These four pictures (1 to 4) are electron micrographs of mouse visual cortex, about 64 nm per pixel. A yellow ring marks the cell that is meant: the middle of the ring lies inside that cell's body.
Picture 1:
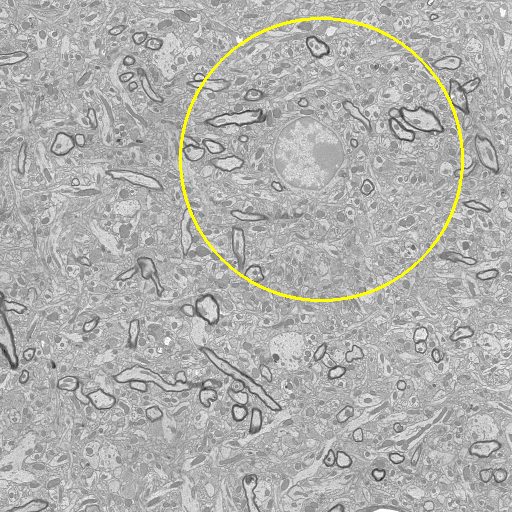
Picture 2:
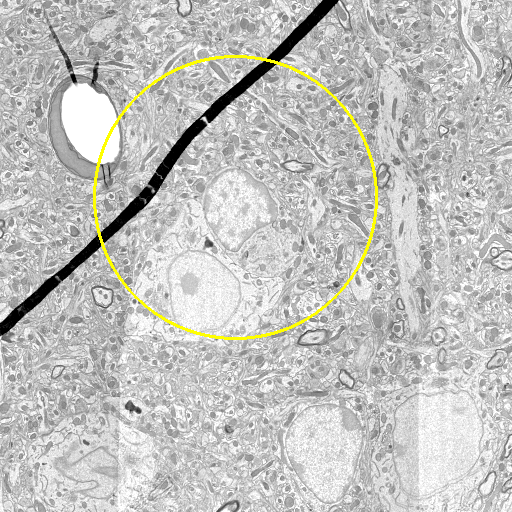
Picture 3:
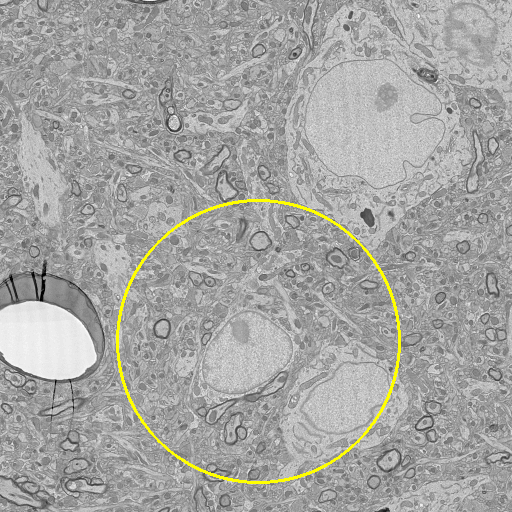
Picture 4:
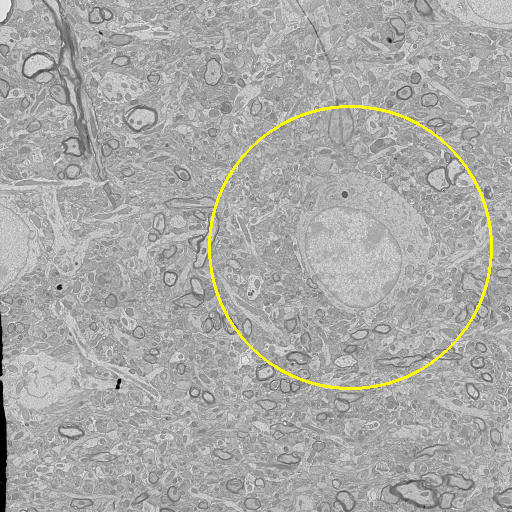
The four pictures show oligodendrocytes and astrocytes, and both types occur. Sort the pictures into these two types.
Pictures 1, 2 and 4 show oligodendrocytes, while picture 3 shows an astrocyte.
